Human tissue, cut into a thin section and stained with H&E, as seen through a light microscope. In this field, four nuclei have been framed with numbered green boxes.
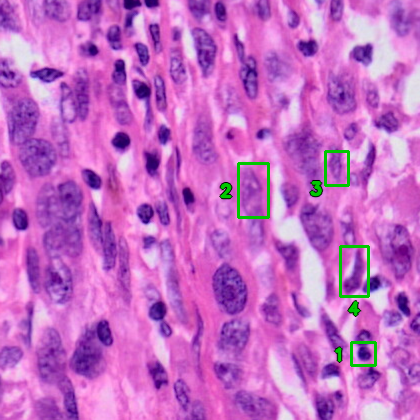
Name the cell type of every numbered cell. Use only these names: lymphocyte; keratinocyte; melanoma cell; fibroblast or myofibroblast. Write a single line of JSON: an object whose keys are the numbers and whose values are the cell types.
{"1": "lymphocyte", "2": "melanoma cell", "3": "melanoma cell", "4": "melanoma cell"}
